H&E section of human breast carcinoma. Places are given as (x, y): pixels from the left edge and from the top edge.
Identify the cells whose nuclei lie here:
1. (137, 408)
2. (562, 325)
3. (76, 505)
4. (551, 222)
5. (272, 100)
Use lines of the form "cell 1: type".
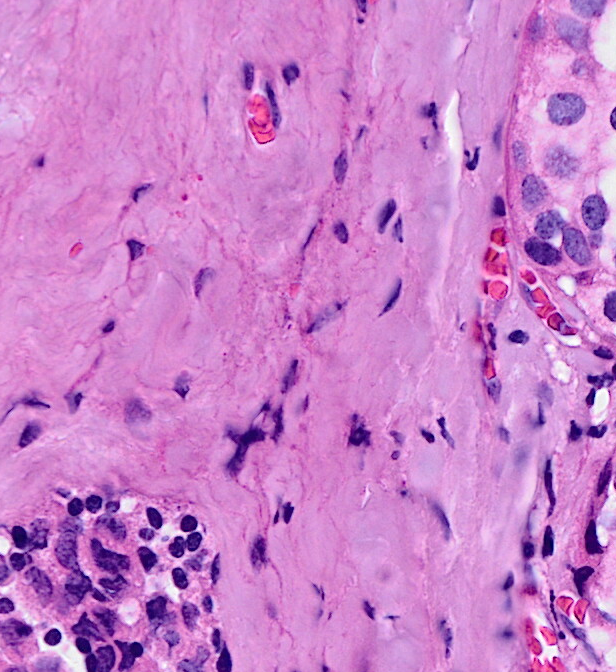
cell 1: fibroblast
cell 2: endothelial cell
cell 3: lymphocyte
cell 4: carcinoma cell
cell 5: endothelial cell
